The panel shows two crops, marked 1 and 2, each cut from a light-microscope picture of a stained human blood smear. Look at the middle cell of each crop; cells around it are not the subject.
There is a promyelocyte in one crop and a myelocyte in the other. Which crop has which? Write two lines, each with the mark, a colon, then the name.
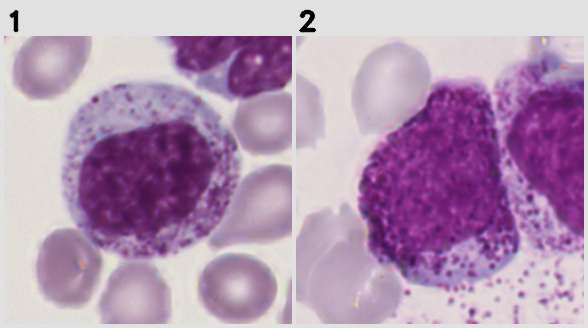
1: myelocyte
2: promyelocyte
